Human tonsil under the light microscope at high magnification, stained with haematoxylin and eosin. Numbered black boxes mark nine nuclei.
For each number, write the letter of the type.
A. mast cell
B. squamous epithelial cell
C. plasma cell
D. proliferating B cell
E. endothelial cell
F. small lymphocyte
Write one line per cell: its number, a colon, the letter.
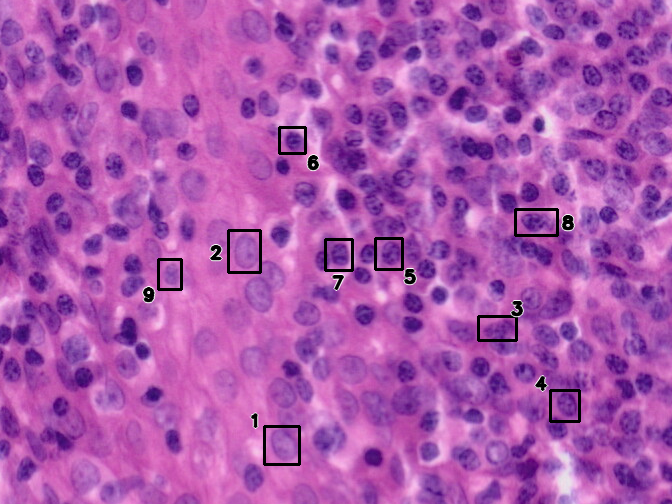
1: B
2: B
3: B
4: C
5: C
6: C
7: C
8: C
9: B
